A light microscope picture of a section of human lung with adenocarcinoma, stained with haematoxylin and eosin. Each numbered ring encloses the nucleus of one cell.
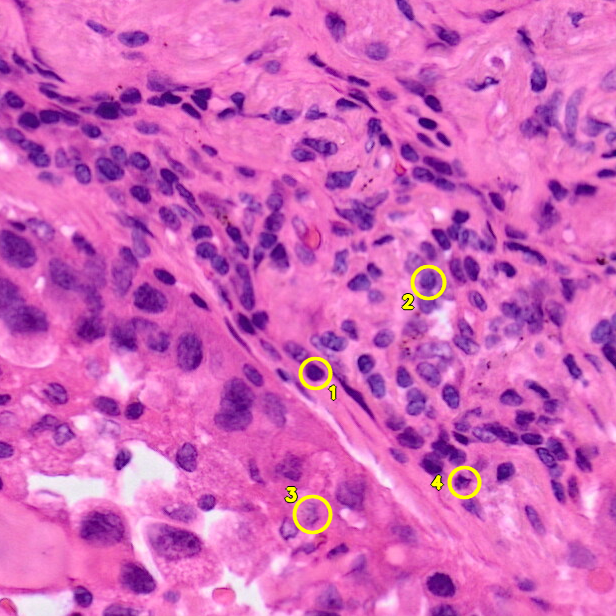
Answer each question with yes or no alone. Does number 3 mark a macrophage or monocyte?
yes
